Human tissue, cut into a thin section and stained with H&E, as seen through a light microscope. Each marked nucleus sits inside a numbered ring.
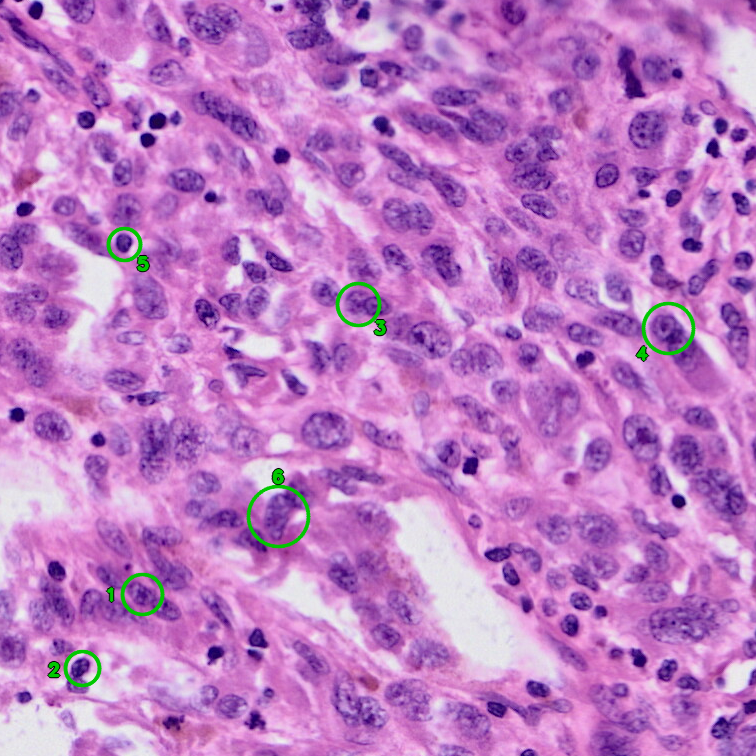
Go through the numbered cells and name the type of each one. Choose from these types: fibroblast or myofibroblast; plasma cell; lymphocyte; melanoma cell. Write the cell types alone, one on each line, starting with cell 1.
melanoma cell
lymphocyte
melanoma cell
melanoma cell
lymphocyte
melanoma cell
